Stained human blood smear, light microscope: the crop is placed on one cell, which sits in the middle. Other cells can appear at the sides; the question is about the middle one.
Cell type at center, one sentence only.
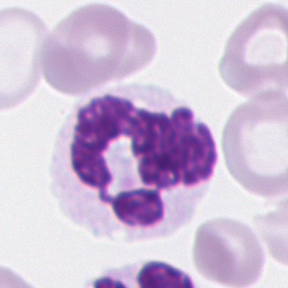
In the middle of this smear crop is a segmented neutrophil.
